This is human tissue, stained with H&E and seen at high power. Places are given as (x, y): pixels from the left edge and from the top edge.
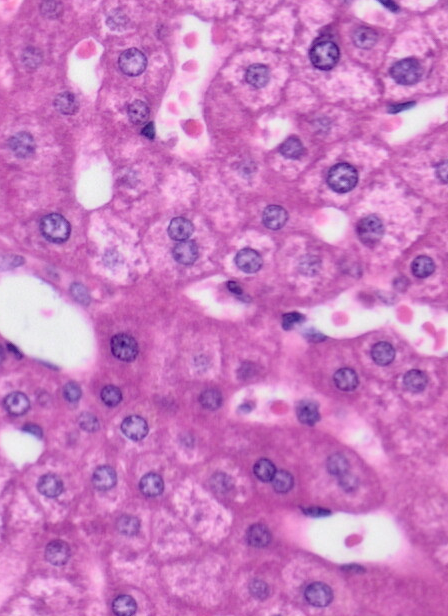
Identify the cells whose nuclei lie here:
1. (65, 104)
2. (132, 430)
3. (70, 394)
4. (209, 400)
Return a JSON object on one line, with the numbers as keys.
{"1": "hepatocyte", "2": "hepatocyte", "3": "cholangiocyte", "4": "hepatocyte"}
